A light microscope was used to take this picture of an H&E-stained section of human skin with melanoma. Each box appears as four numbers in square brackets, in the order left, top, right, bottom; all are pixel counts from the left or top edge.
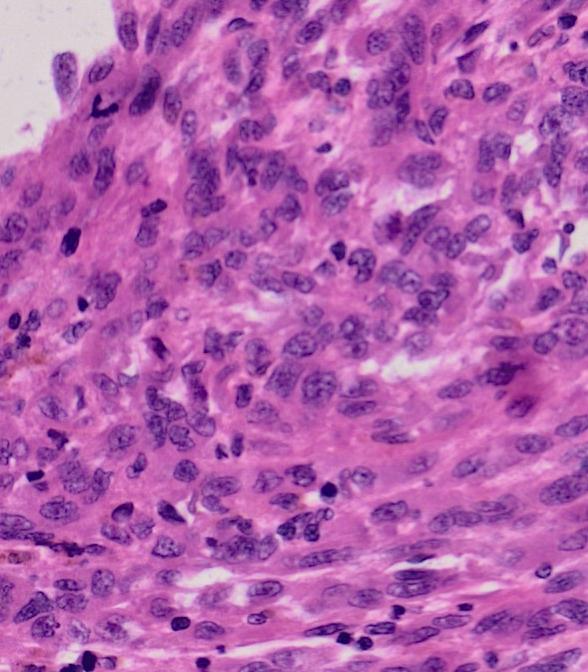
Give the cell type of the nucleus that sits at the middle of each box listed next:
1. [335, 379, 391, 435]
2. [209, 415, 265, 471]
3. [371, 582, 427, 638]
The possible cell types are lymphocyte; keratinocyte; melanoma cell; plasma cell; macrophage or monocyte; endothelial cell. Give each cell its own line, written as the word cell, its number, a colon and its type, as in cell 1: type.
cell 1: melanoma cell
cell 2: lymphocyte
cell 3: lymphocyte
